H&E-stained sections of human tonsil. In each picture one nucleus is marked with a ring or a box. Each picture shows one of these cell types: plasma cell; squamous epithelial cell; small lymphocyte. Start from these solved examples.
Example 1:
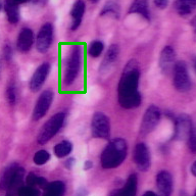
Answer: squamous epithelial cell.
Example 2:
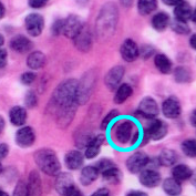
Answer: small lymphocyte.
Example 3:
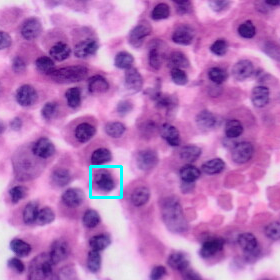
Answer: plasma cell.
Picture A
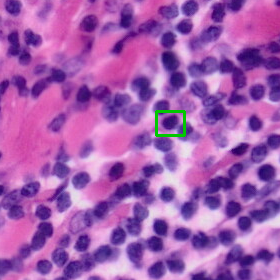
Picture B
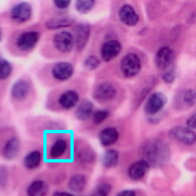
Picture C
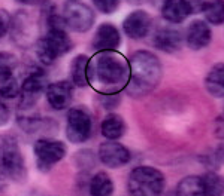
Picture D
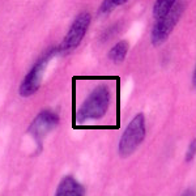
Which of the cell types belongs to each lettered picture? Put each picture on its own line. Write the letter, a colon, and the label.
A: small lymphocyte.
B: plasma cell.
C: small lymphocyte.
D: squamous epithelial cell.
